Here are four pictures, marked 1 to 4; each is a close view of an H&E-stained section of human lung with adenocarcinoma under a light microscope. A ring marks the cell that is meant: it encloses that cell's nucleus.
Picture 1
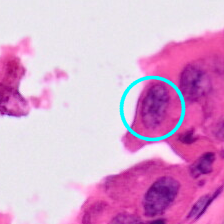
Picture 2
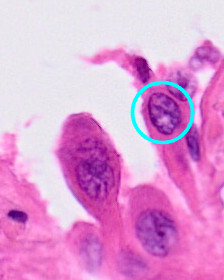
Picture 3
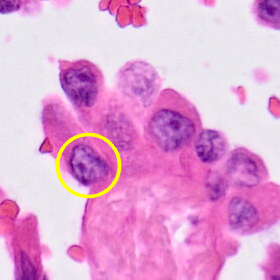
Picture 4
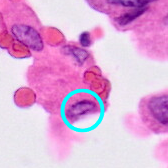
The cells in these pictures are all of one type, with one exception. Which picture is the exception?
4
